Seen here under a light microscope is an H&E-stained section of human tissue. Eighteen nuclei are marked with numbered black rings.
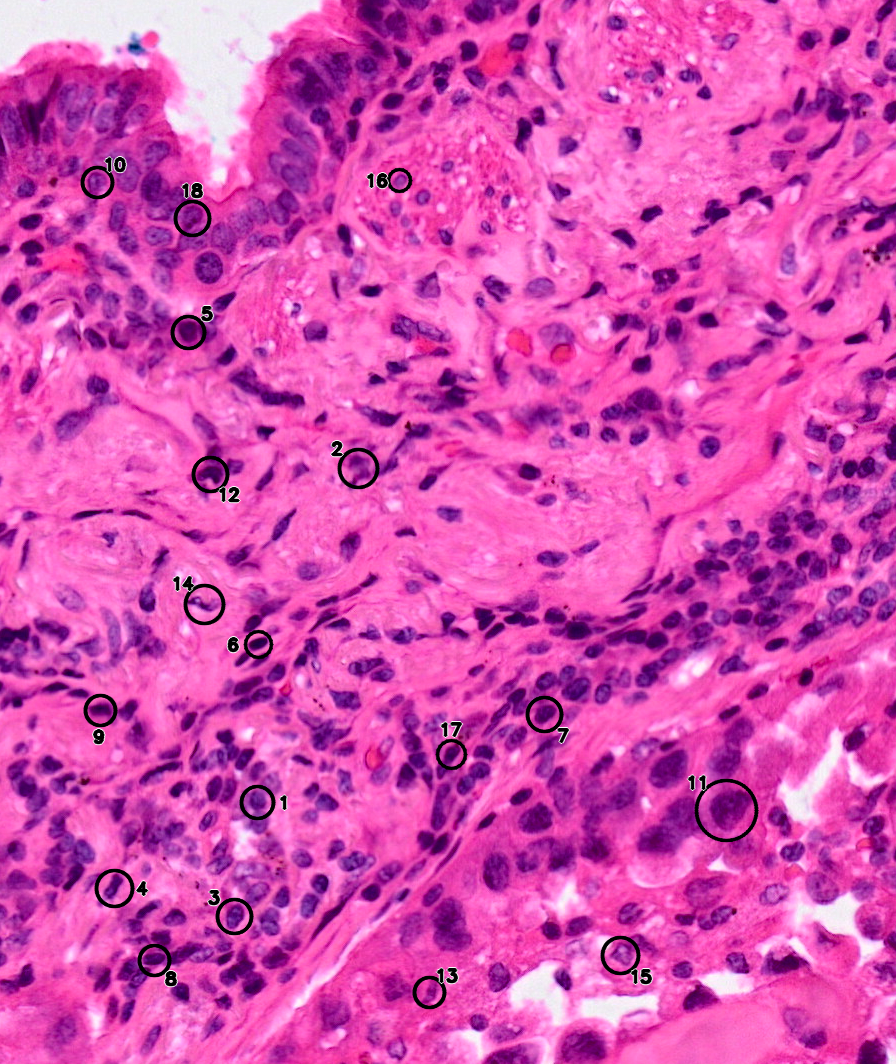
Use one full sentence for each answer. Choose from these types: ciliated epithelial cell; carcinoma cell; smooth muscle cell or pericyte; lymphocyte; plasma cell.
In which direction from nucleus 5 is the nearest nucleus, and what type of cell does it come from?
It is a plasma cell, whose nucleus lies to the right of nucleus 5.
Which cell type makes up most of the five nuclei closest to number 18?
Ciliated epithelial cells account for more than half of the five nuclei nearest to number 18.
